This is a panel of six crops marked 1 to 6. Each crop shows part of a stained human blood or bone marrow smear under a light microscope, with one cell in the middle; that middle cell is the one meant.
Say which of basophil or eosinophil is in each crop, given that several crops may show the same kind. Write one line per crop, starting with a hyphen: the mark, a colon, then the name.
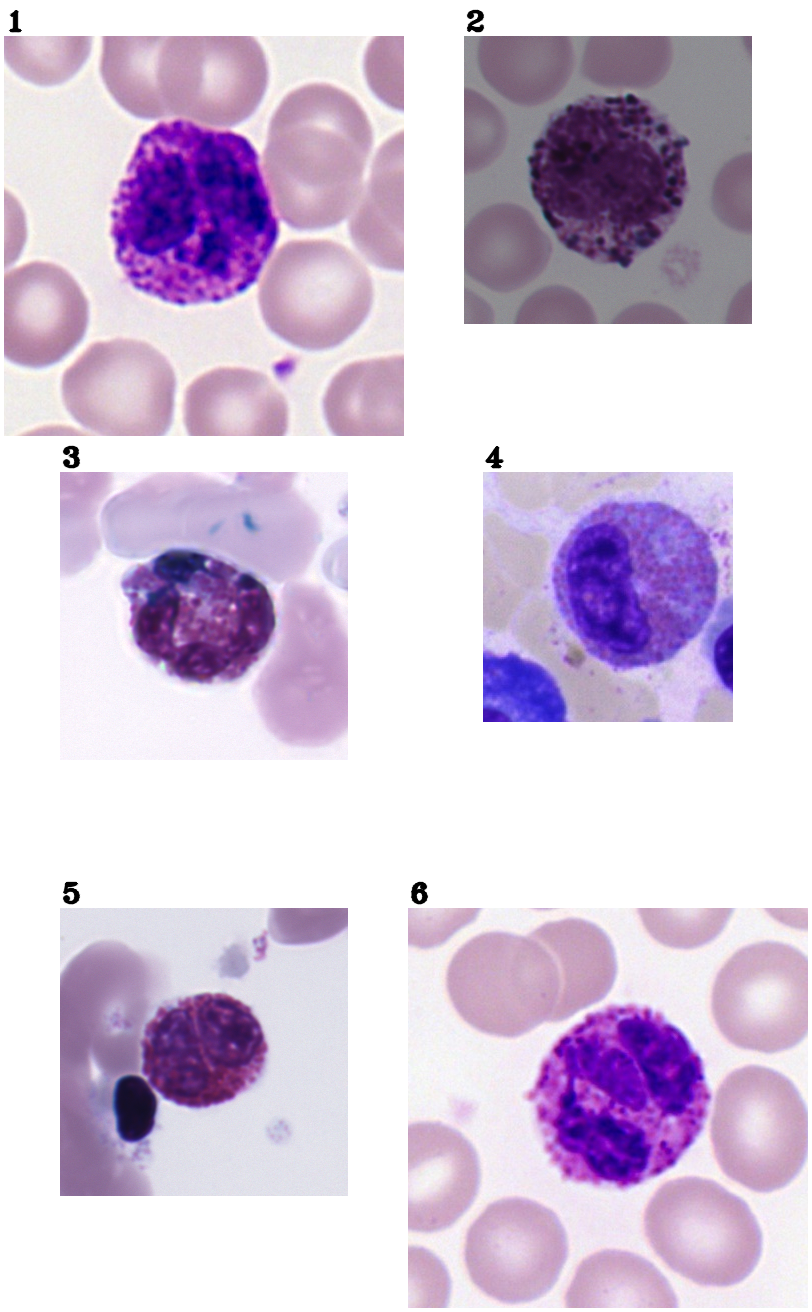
- 1: basophil
- 2: basophil
- 3: eosinophil
- 4: eosinophil
- 5: eosinophil
- 6: basophil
